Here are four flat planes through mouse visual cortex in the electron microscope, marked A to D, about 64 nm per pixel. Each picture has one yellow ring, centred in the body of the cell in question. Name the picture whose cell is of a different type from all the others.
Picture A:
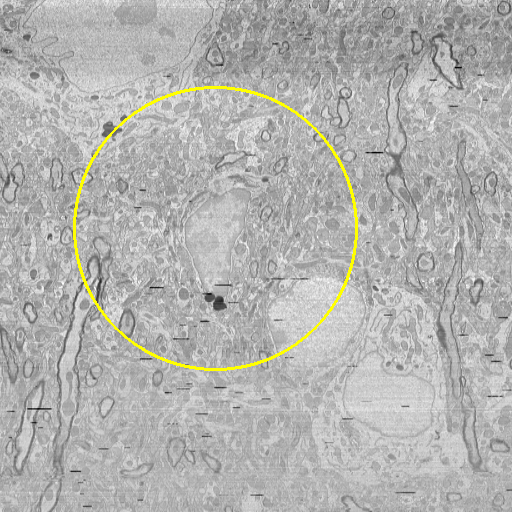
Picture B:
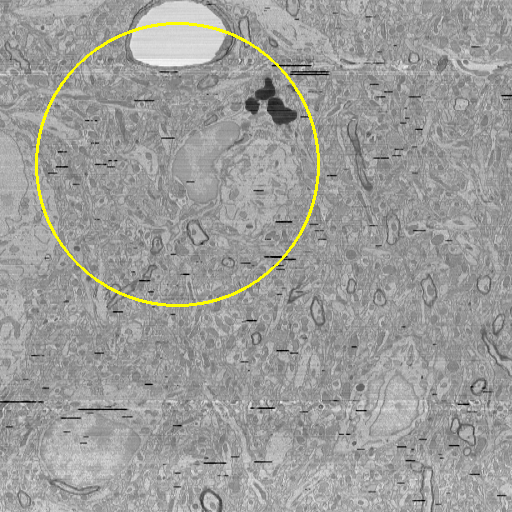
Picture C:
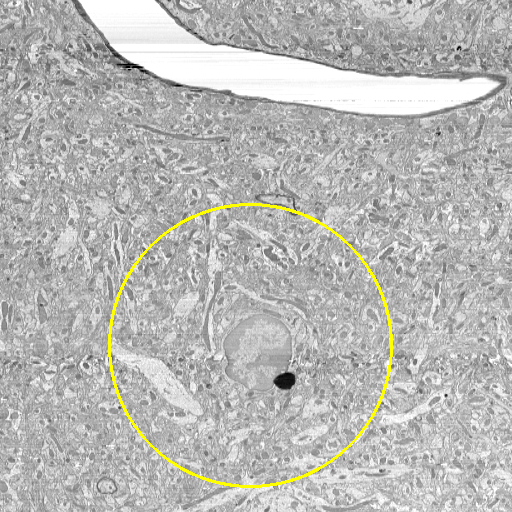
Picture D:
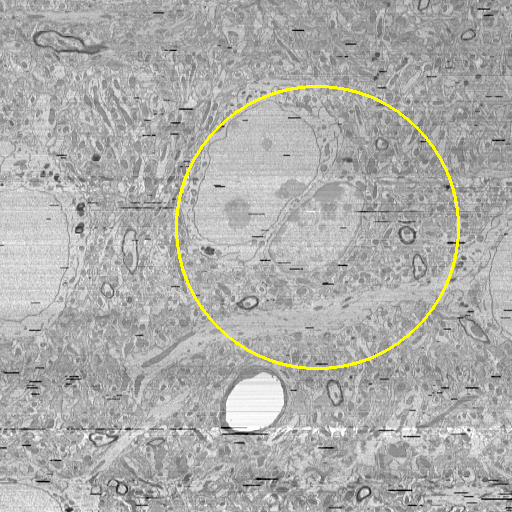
Picture D is the odd one out: it shows an oligodendrocyte, while the others show microglial cells.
